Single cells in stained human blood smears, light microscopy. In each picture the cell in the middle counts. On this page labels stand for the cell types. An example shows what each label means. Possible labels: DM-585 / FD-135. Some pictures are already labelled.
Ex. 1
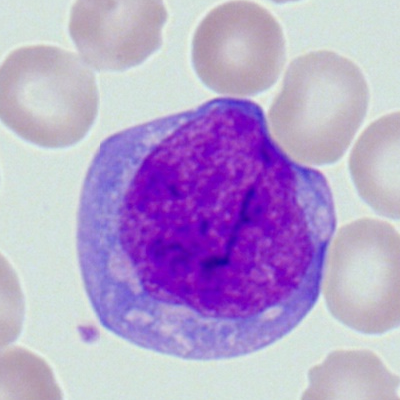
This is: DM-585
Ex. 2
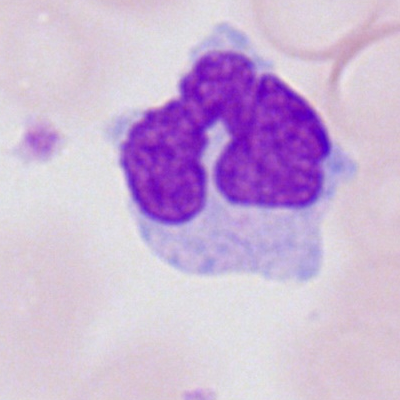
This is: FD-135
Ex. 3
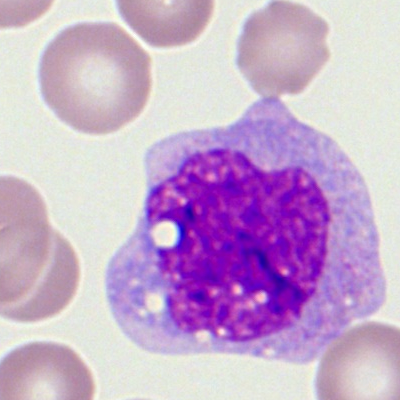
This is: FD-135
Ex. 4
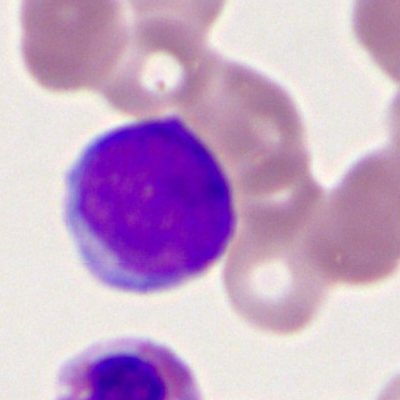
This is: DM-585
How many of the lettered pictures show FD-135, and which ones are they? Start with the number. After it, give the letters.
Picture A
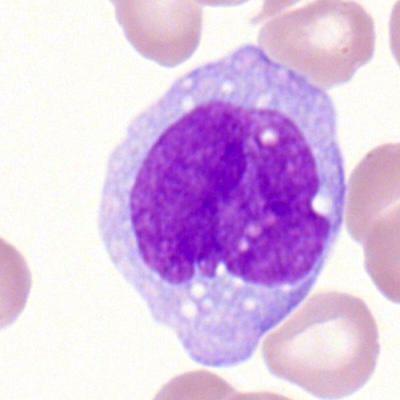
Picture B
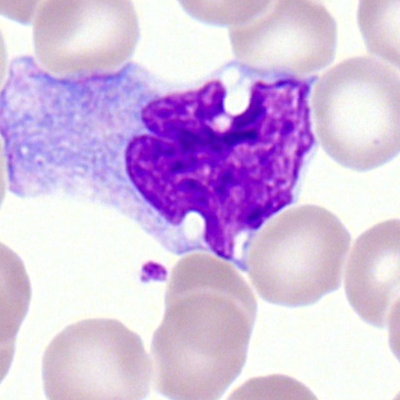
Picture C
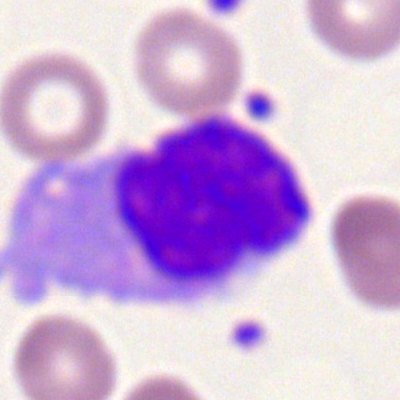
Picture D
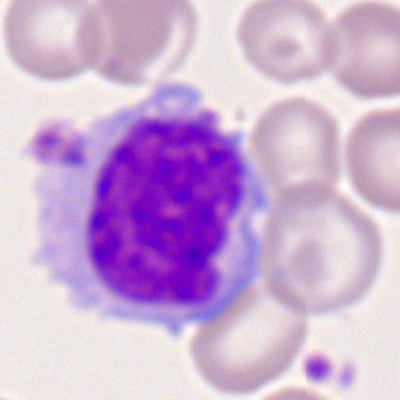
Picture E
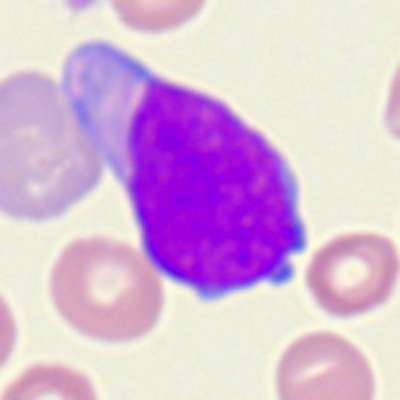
Count: 4 (A, B, C, D)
